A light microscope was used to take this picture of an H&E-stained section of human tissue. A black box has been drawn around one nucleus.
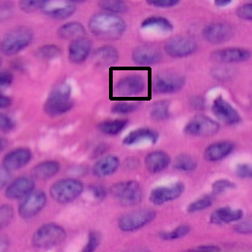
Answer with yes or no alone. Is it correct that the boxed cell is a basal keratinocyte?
yes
